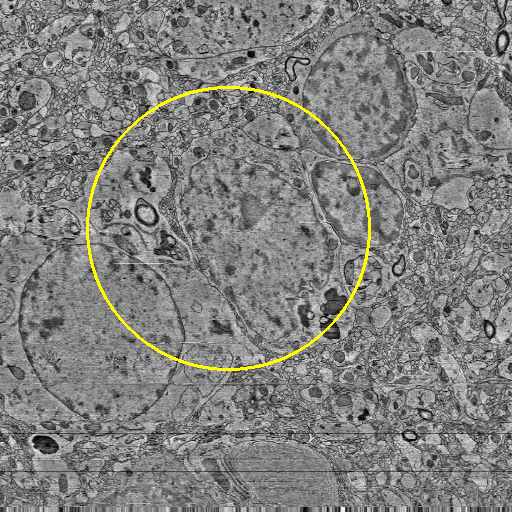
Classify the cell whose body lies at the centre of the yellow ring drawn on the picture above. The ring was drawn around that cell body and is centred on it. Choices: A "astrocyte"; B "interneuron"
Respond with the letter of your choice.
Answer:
B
